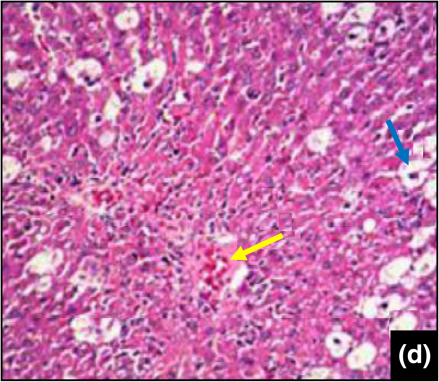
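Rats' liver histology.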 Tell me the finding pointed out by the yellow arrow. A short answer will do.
conspicuous congestion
